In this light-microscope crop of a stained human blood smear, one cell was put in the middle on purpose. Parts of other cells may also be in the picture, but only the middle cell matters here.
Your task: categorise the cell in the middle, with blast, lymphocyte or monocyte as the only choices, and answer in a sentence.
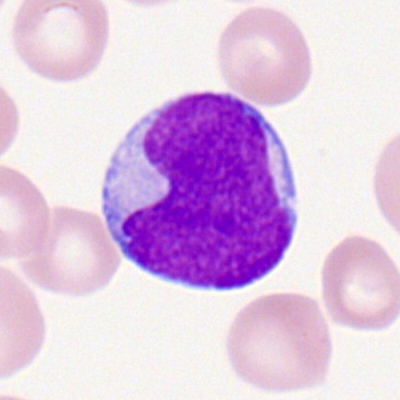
The cell marked by its central position in the crop is a blast.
